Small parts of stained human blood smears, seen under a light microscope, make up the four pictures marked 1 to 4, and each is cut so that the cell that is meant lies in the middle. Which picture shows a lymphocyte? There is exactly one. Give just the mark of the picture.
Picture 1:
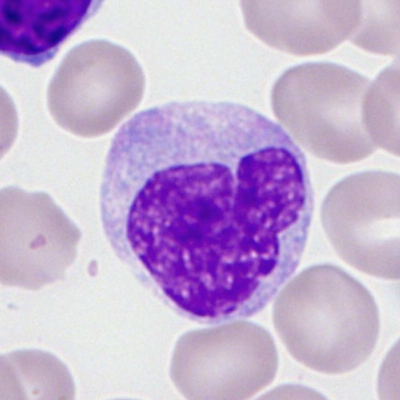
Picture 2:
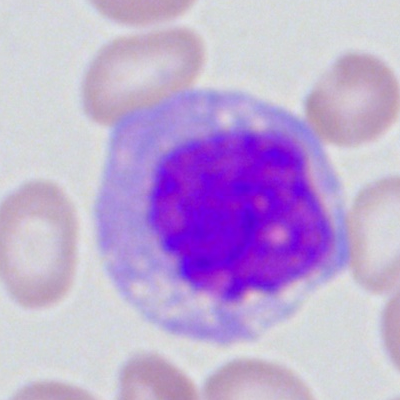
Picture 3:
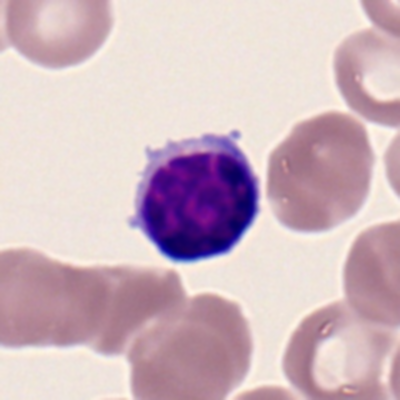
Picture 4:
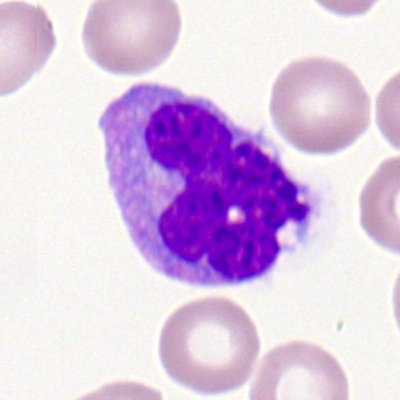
3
